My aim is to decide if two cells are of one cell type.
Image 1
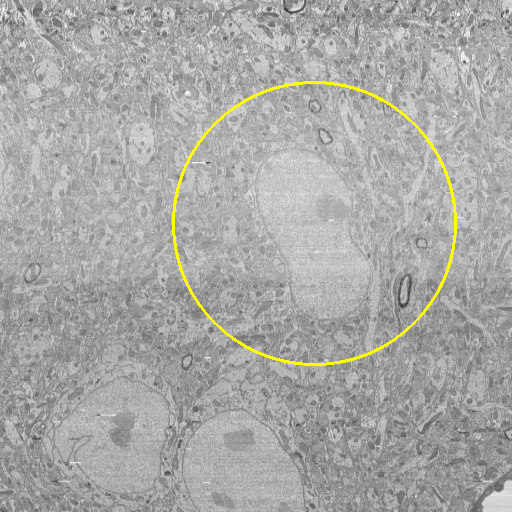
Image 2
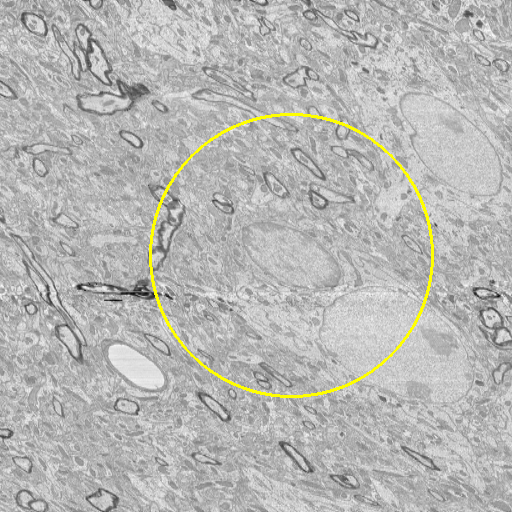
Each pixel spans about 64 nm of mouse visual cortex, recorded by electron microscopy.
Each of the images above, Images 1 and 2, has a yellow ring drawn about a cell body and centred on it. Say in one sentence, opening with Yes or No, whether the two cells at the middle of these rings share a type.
No, in Images 1 and 2 the cells at the middle of the rings fall into two types.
